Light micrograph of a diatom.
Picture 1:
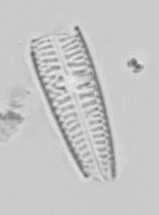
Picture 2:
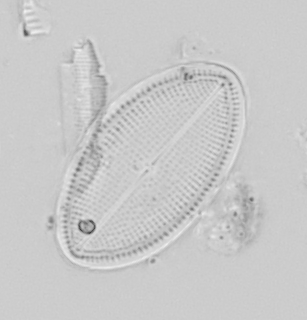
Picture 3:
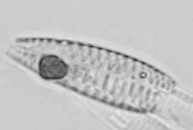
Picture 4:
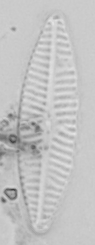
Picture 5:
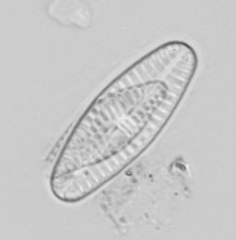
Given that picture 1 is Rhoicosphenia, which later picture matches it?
3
